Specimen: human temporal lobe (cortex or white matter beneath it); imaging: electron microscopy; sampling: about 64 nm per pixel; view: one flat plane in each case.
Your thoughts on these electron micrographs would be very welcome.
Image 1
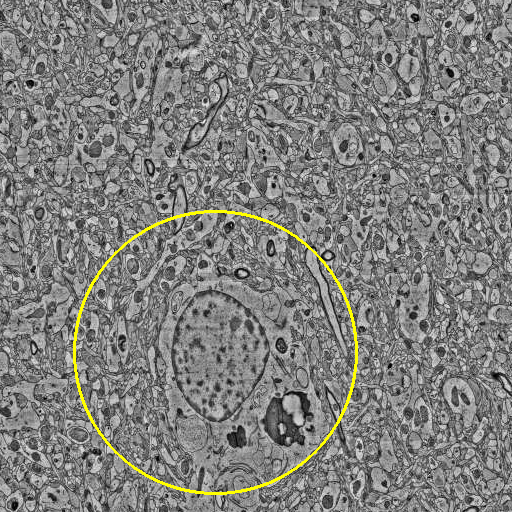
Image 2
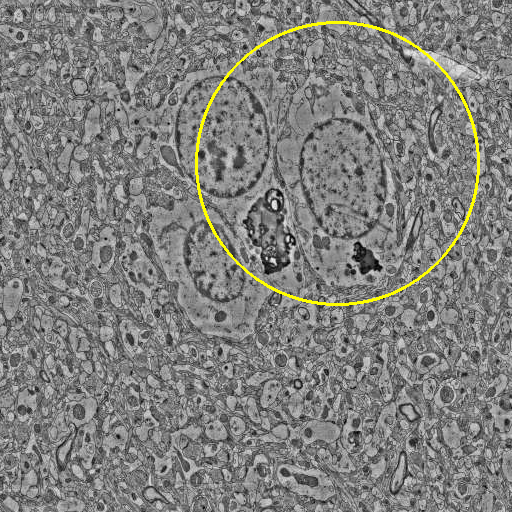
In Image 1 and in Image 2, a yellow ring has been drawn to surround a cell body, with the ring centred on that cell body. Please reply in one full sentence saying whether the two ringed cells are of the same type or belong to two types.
The ringed cells in Image 1 and Image 2 are of the same type.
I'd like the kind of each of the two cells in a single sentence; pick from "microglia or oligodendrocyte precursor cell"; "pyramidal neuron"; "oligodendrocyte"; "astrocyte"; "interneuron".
Each of the ringed cells, first and second, is an astrocyte.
